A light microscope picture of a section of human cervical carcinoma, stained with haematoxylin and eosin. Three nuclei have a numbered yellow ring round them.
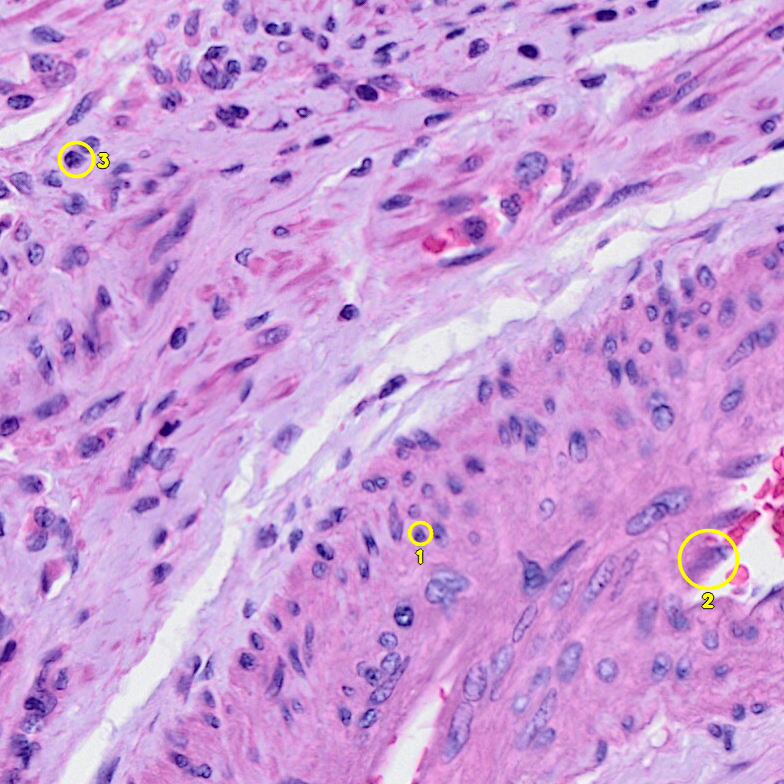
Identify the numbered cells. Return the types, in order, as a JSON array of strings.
["smooth muscle cell", "endothelial cell", "lymphocyte"]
